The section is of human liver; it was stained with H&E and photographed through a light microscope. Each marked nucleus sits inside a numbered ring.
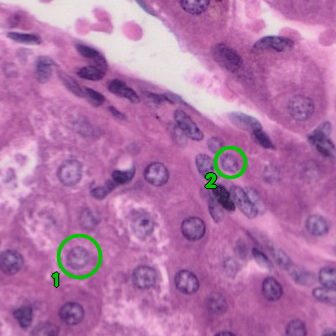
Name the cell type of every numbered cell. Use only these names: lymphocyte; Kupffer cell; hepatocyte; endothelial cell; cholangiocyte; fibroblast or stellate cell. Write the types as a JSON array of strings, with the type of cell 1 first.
["hepatocyte", "cholangiocyte"]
